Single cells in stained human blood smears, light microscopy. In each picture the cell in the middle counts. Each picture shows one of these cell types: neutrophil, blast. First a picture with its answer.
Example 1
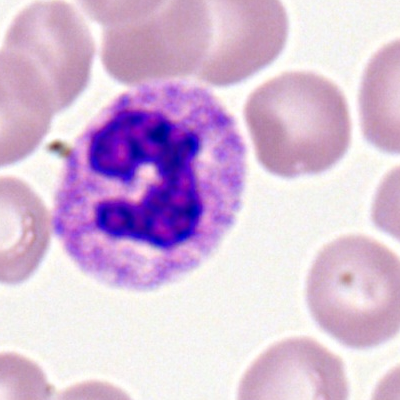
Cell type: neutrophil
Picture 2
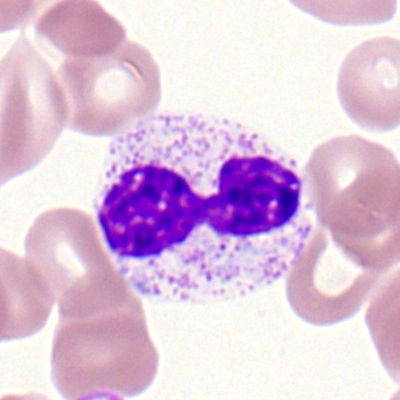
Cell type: neutrophil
